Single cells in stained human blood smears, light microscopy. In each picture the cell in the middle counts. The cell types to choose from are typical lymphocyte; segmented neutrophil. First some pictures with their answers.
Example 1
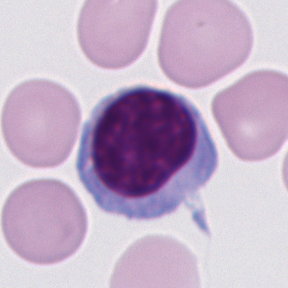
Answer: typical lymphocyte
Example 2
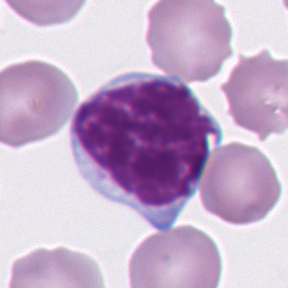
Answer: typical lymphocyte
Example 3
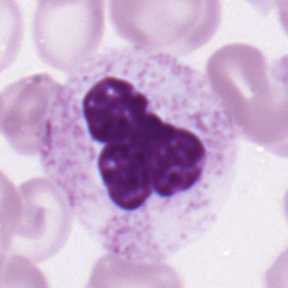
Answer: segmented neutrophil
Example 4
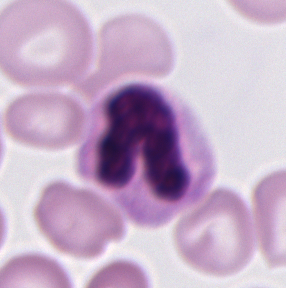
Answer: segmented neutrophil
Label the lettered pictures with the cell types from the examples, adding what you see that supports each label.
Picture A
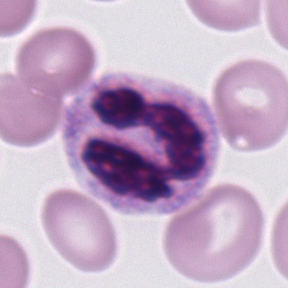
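Label: segmented neutrophil. The nucleus is a thick curved band bent into a horseshoe that opens toward the left.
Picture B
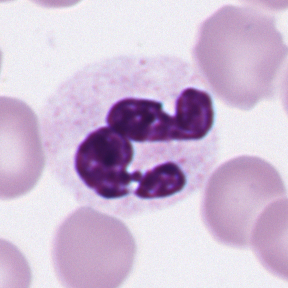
Label: segmented neutrophil. The cytoplasm is abundant and pale pink.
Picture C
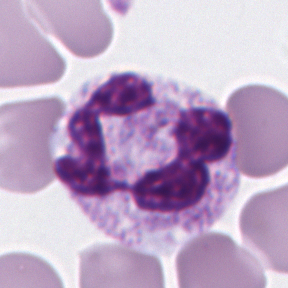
Label: segmented neutrophil. The cytoplasm is plentiful and pale pink.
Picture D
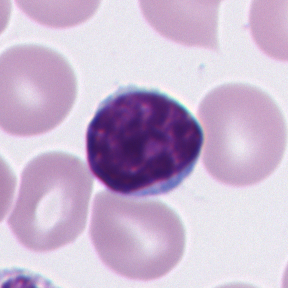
Label: typical lymphocyte. The cytoplasm is scant and shows mainly as a thin crescent along the lower edge of the cell.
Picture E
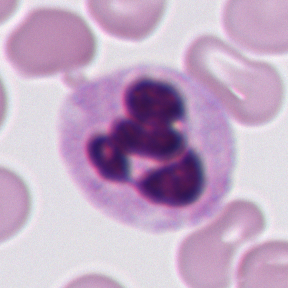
Label: segmented neutrophil. The cytoplasm is plentiful and pale pinkish-lilac.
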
